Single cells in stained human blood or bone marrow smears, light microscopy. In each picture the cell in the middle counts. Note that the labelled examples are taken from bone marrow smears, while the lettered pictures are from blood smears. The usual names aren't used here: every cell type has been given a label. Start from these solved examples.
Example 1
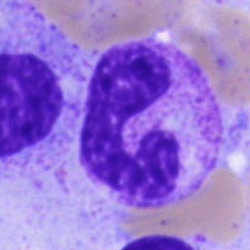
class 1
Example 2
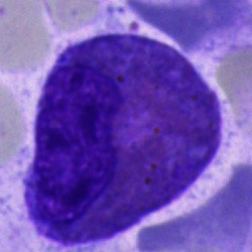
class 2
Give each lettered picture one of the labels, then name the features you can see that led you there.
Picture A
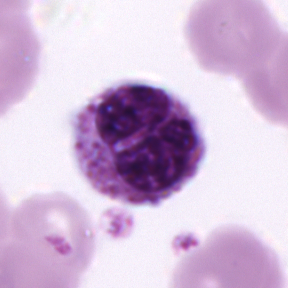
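class 2. Reason: The cytoplasm holds coarse purple granules, most visible on the left side and along the edge.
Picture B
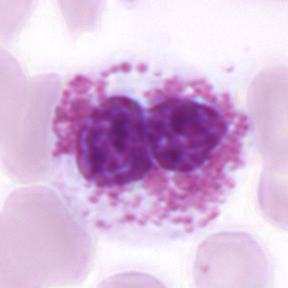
class 2. Reason: The granules are coarse and of fairly even size.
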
